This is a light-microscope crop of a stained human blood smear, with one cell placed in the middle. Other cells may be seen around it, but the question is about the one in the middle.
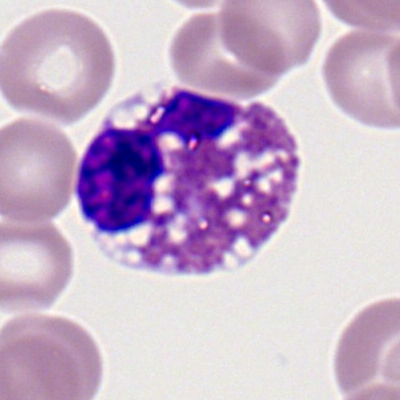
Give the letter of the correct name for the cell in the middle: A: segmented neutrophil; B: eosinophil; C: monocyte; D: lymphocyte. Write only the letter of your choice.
B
